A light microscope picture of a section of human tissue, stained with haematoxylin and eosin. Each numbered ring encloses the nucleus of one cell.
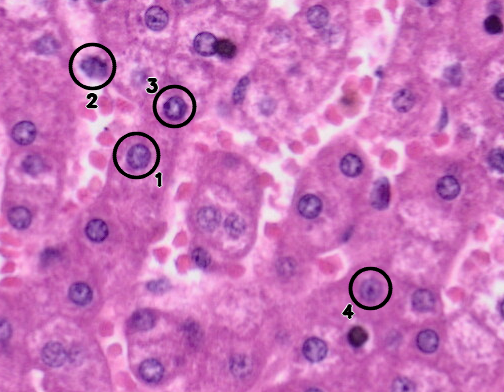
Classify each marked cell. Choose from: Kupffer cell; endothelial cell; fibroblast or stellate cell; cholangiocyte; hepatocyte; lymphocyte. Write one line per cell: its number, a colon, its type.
1: hepatocyte
2: endothelial cell
3: hepatocyte
4: hepatocyte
